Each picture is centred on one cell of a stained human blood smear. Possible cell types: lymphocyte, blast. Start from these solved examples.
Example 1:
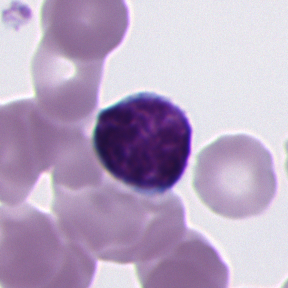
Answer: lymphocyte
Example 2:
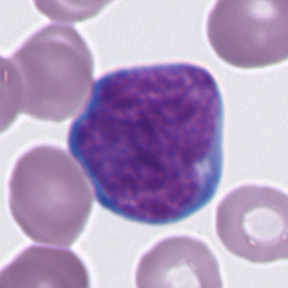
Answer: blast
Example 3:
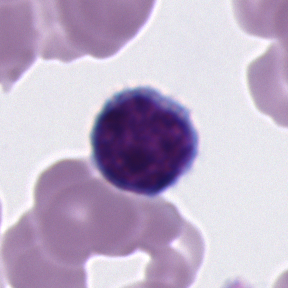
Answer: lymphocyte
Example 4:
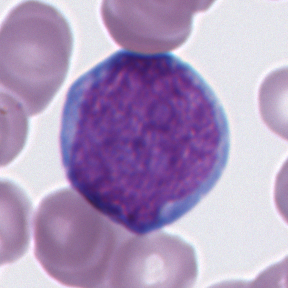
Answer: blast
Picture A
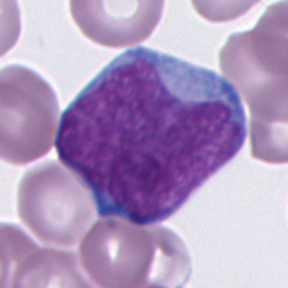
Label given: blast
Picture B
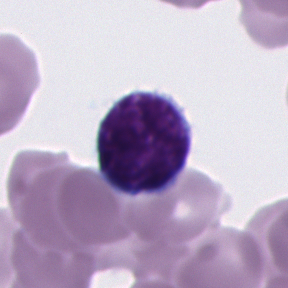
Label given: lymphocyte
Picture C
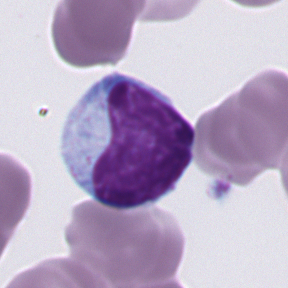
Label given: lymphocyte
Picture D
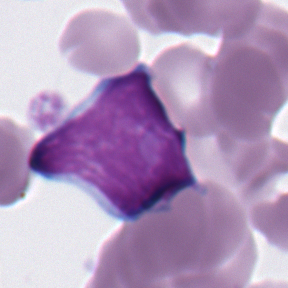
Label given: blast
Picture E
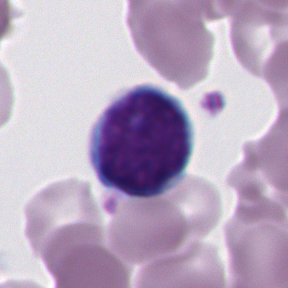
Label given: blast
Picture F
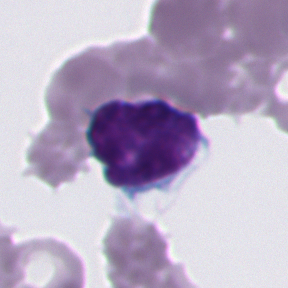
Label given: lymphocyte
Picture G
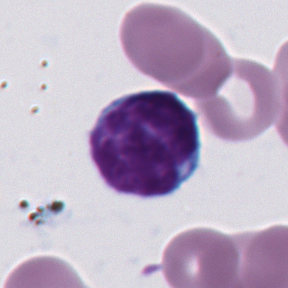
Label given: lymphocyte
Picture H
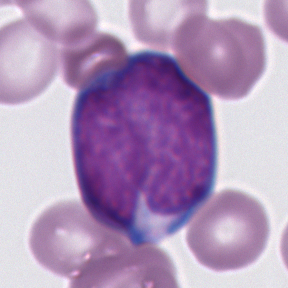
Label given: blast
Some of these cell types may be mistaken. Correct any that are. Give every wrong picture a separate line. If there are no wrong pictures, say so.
D is labelled blast; correct label: lymphocyte
E is labelled blast; correct label: lymphocyte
